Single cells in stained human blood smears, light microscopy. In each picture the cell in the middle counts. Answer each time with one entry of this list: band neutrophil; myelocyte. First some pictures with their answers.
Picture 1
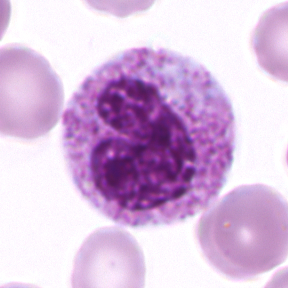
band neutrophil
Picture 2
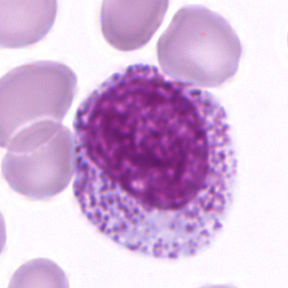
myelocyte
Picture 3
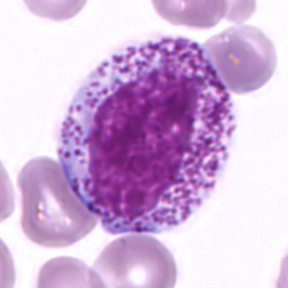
myelocyte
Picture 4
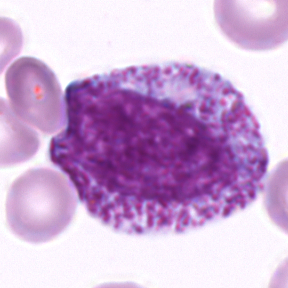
myelocyte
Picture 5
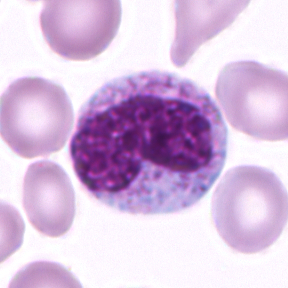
band neutrophil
